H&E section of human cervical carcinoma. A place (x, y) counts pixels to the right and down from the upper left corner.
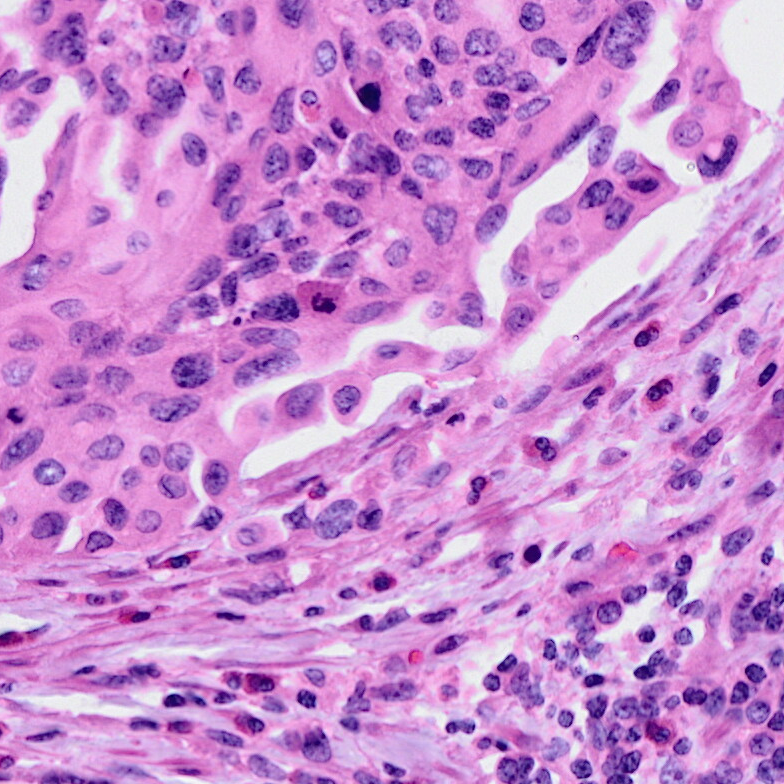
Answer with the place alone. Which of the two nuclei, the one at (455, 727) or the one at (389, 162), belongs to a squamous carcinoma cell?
(389, 162)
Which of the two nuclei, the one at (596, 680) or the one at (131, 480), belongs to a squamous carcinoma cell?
(131, 480)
